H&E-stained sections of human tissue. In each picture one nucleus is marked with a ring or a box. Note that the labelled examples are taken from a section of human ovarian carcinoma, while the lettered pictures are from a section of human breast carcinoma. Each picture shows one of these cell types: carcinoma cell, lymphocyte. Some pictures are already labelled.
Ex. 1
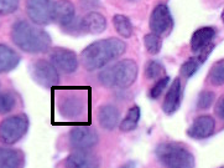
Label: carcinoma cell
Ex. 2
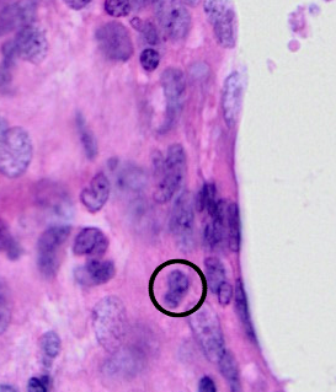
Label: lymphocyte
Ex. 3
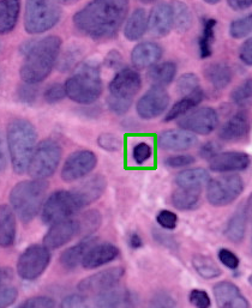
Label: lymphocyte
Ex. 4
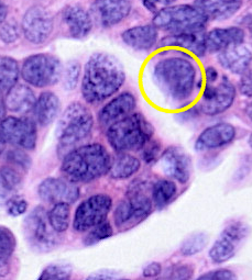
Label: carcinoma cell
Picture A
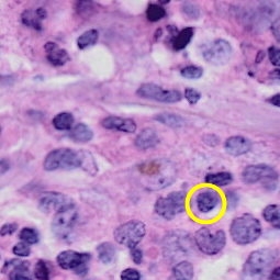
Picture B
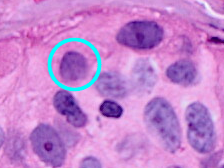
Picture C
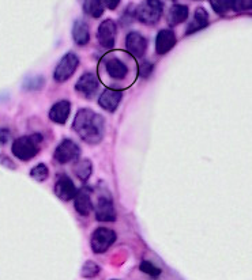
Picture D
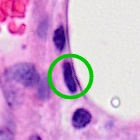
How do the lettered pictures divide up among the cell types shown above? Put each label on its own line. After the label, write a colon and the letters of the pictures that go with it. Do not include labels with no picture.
carcinoma cell: B
lymphocyte: A, C, D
